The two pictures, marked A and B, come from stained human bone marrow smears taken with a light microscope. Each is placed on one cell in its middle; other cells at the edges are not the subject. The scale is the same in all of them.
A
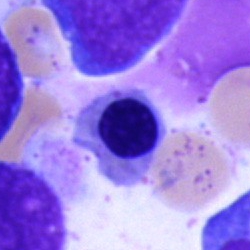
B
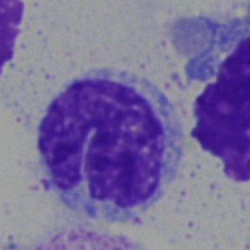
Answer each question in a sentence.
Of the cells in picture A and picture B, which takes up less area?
Smaller is the cell in picture A, and the other is about 3 times as large in area.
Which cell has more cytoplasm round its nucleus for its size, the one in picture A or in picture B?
The nucleus fills less of the cell in picture A than in picture B.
